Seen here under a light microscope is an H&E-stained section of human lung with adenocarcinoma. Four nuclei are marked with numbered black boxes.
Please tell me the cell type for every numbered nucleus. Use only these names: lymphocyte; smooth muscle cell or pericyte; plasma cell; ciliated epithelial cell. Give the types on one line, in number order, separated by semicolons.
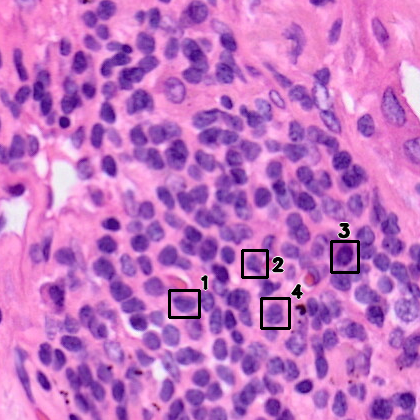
lymphocyte; lymphocyte; plasma cell; lymphocyte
